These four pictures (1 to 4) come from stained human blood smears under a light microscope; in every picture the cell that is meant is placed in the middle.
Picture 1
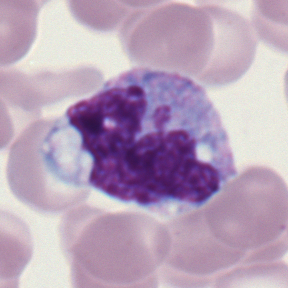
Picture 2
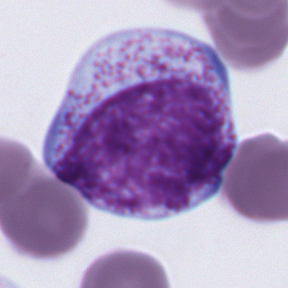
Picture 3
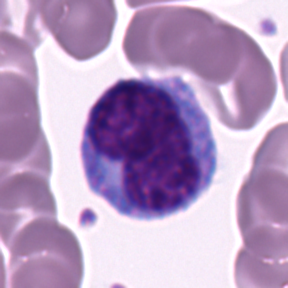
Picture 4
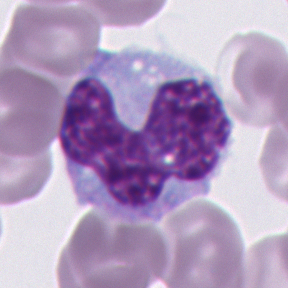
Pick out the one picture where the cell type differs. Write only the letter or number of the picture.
2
